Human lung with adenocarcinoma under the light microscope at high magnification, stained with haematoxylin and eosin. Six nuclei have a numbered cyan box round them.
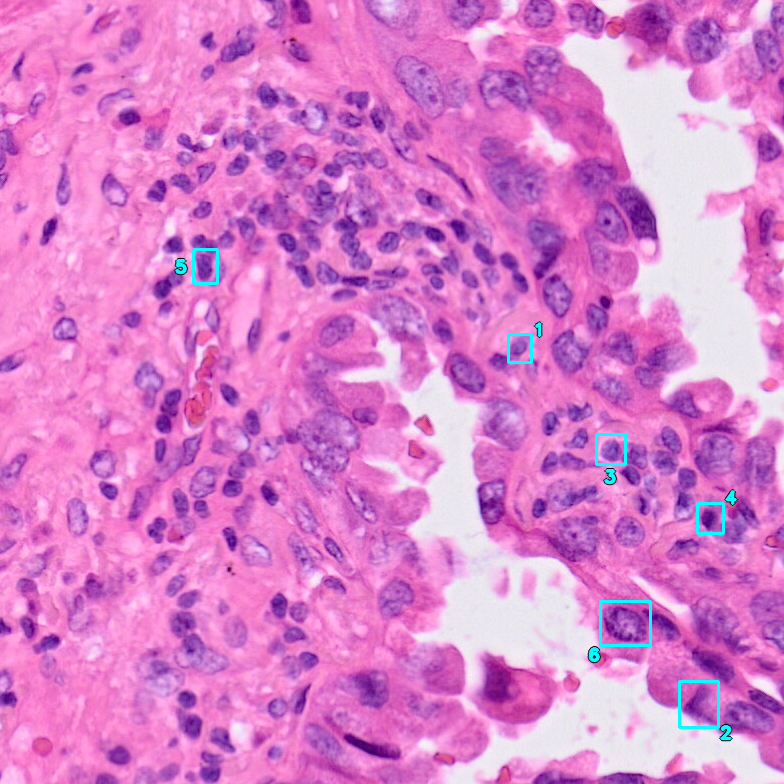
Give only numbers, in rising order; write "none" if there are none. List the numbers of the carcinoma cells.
2, 6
